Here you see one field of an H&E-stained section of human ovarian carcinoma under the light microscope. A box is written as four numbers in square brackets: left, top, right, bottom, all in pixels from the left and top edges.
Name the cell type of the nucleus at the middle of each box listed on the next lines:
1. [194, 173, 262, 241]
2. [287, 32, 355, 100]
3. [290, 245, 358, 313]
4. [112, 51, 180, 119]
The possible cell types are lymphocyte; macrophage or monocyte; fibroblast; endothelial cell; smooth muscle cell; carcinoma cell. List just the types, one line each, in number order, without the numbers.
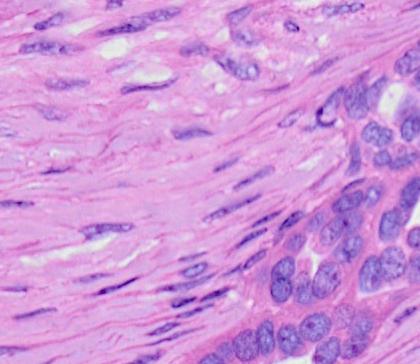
fibroblast
fibroblast
carcinoma cell
fibroblast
